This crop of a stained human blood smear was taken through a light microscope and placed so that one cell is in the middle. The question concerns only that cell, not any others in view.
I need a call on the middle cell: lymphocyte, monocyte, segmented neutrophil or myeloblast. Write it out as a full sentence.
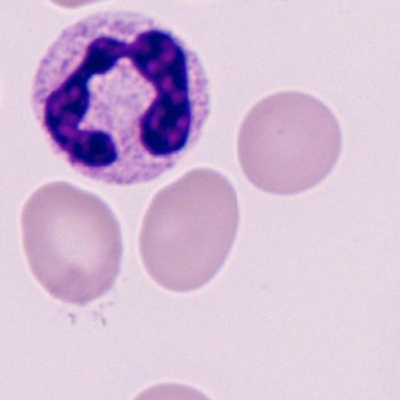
Here the cell in the middle is a segmented neutrophil.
